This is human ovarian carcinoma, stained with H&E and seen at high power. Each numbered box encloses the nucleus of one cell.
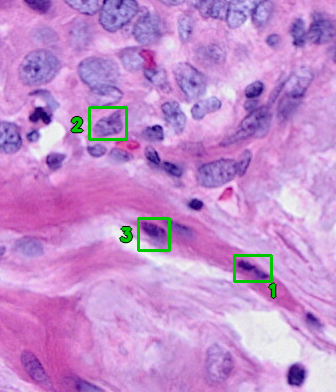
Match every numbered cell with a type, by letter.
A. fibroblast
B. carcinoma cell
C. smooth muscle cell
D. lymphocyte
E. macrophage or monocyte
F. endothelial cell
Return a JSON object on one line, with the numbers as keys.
{"1": "C", "2": "F", "3": "C"}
